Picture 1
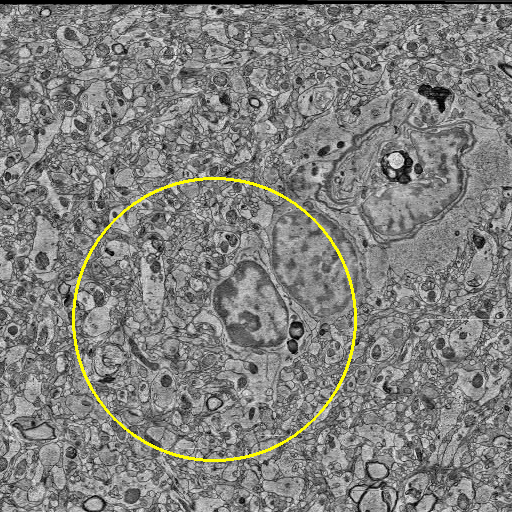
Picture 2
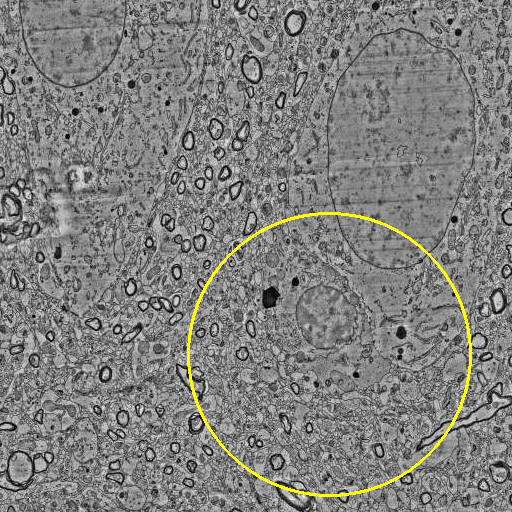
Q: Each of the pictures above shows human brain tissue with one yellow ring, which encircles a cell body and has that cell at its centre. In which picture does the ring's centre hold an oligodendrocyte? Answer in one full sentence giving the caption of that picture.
Picture 2 is the one whose ring is centred on the cell in question.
